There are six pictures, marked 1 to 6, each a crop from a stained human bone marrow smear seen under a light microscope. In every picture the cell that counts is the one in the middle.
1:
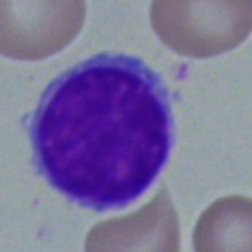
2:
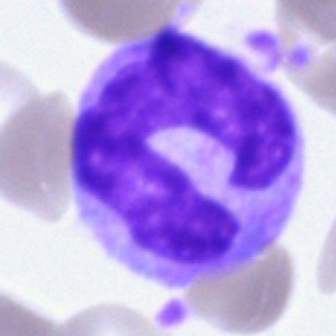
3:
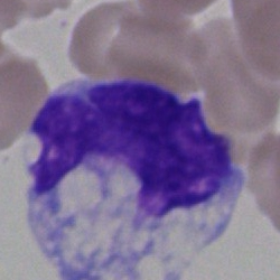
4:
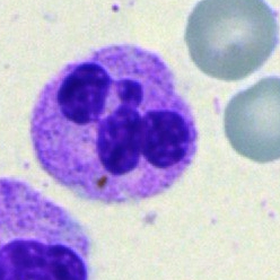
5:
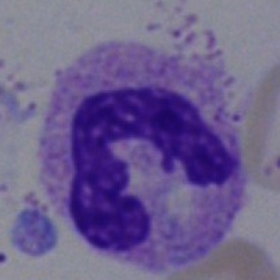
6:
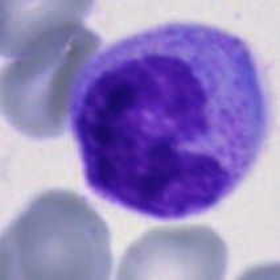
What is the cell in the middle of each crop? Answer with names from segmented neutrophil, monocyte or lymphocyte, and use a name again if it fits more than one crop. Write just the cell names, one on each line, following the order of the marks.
lymphocyte
monocyte
monocyte
segmented neutrophil
segmented neutrophil
monocyte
